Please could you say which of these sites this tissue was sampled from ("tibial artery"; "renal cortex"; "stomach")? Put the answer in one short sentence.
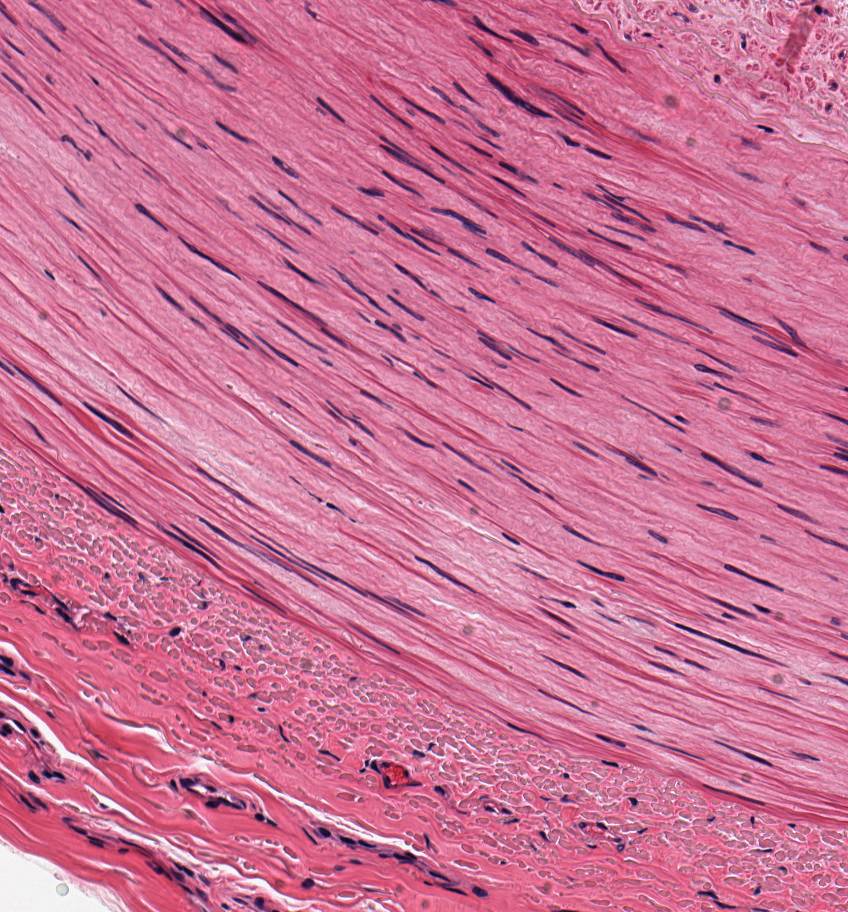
The site this tissue was sampled from is the tibial artery.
